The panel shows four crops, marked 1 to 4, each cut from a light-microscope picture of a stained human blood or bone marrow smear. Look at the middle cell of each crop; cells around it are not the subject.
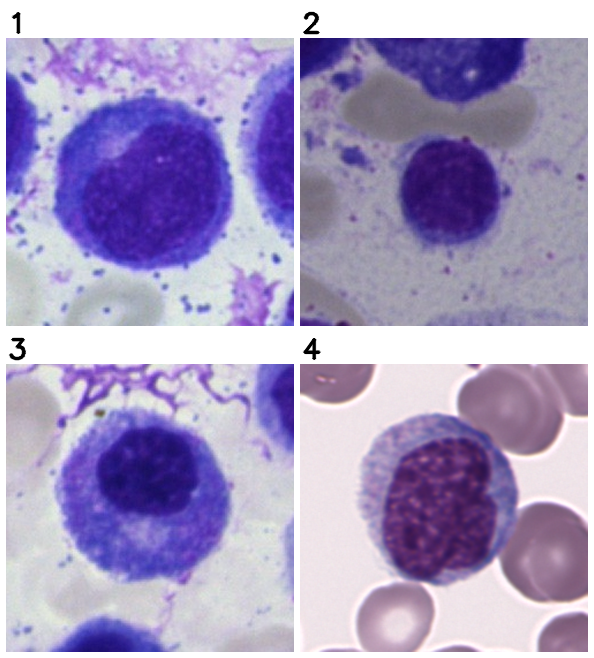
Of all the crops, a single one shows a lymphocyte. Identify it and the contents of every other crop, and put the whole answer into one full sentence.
At the centre of crop 2 lies a lymphocyte, while crop 1 is a promyelocyte, crop 3 is a plasma cell and crop 4 is a monocyte.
